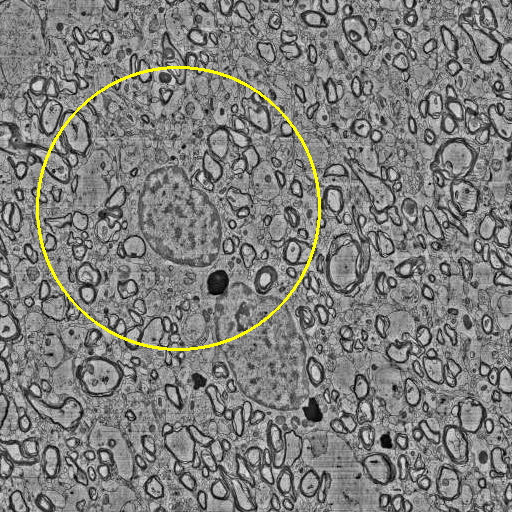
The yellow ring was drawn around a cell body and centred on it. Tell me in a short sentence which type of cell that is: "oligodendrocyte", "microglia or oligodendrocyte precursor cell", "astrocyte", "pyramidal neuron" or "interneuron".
The cell at the ring's centre is an oligodendrocyte.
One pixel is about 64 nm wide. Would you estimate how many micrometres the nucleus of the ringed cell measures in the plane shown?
The nucleus has a long axis of about 7 micrometres and a short axis of about 5 micrometres in this plane.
